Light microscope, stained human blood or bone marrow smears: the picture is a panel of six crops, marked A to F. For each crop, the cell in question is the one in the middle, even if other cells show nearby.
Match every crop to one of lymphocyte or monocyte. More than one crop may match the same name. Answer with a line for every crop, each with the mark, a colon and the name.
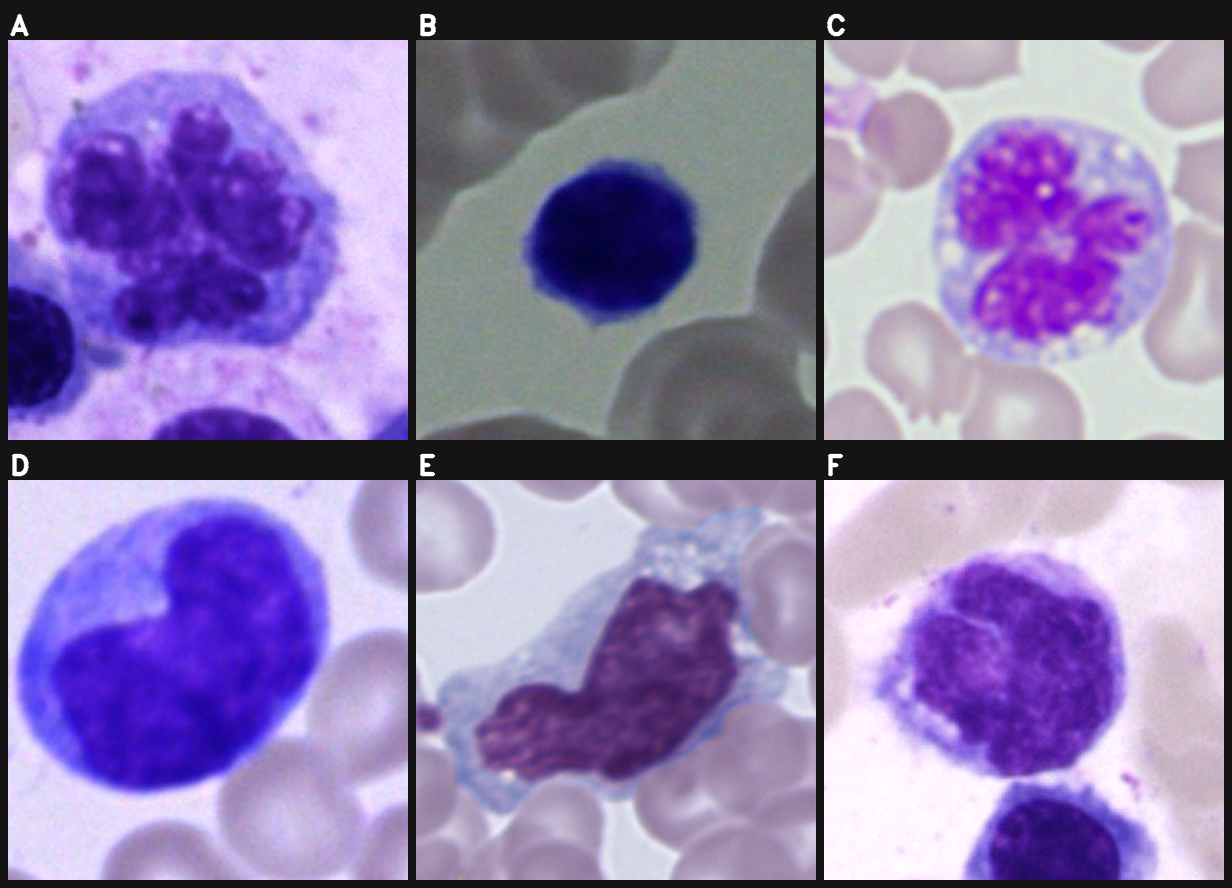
A: monocyte
B: lymphocyte
C: monocyte
D: monocyte
E: monocyte
F: monocyte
